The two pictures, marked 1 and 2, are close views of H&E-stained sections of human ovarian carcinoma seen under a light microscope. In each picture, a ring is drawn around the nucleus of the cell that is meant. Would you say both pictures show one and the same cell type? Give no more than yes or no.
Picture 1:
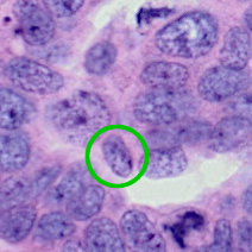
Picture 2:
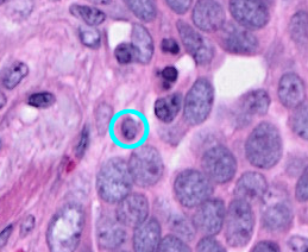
yes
